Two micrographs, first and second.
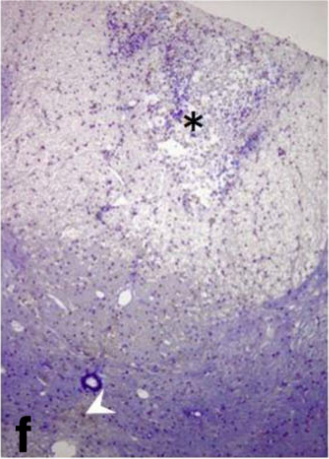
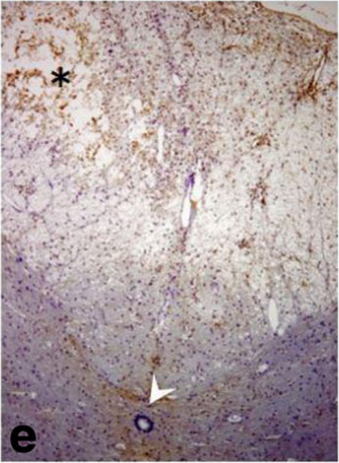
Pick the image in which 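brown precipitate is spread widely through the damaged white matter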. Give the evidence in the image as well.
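First image: the tissue is purple and pale with hardly any brown. Second image: brown granular deposits cover much of the upper area and surround the central canal. The answer: the second image.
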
